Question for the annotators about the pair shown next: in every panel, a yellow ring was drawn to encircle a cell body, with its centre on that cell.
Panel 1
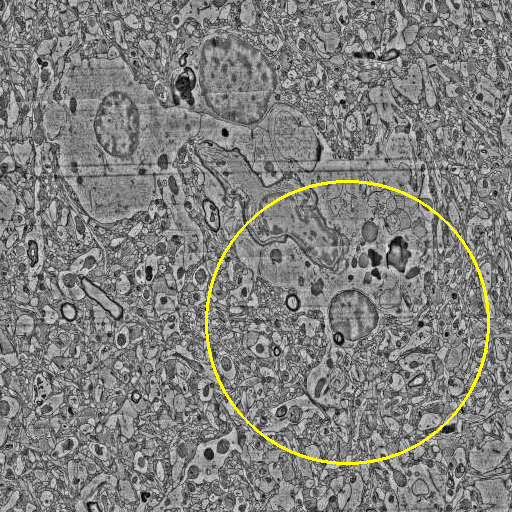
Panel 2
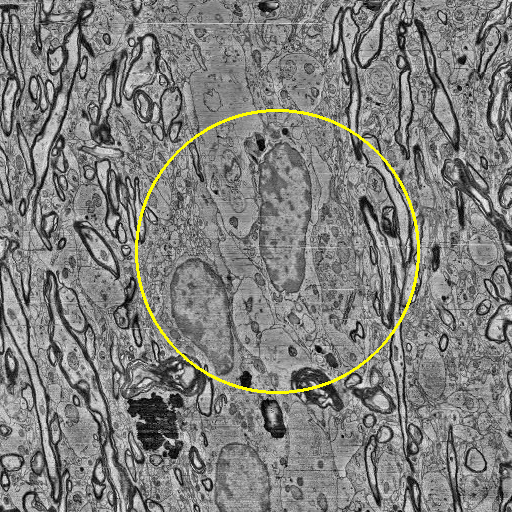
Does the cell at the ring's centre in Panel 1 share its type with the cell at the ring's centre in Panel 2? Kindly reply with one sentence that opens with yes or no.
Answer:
Yes, in Panels 1 and 2 the cells at the ring centres belong to a single type.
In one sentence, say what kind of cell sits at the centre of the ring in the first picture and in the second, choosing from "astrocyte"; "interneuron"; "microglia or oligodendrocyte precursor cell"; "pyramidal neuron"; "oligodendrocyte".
The cell at the ring centre is a microglial cell or oligodendrocyte precursor cell in both pictures.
